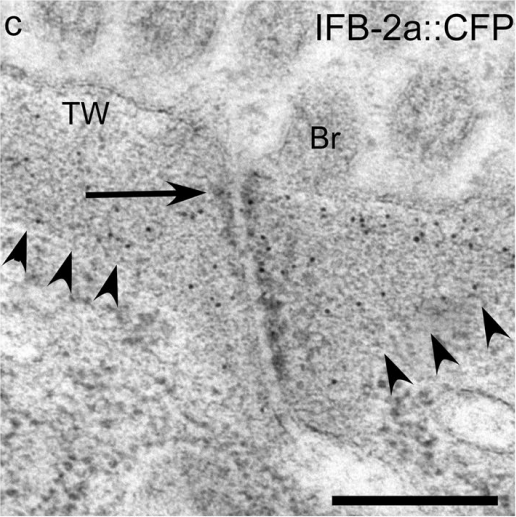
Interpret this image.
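Apical junction between two neighbouring intestinal cells seen by transmission electron microscopy. A vertical cell boundary crosses the center and bears an electron-dense thickening near the apical surface. Lower, a finely granular dense subapical band extends horizontally on both sides of the boundary, converging at the junction, with small black gold particles scattered along it and near the junction.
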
